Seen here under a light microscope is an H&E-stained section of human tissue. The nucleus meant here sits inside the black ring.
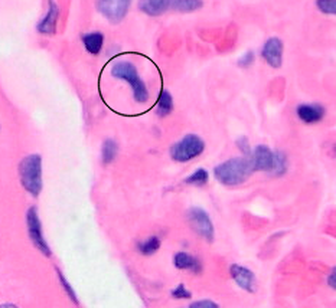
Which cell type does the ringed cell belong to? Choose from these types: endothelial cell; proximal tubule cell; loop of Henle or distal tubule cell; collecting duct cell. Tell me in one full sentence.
The expected answer is simply that the ringed cell is an endothelial cell.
